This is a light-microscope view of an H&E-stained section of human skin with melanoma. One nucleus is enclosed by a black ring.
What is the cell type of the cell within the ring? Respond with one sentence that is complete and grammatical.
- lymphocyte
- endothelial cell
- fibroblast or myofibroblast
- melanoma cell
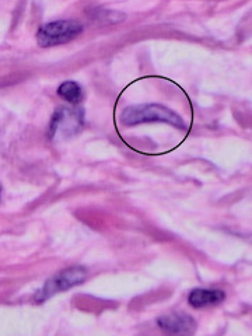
Typologically, the cell within the ring is a fibroblast or myofibroblast in this section.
